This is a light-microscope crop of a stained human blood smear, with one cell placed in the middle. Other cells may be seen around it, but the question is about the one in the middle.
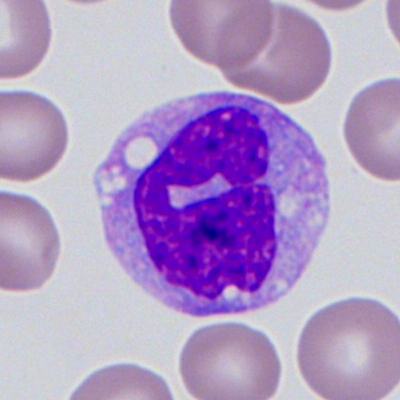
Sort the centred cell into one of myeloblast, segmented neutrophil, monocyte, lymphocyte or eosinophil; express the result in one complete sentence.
The crop shows a monocyte in its centre.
